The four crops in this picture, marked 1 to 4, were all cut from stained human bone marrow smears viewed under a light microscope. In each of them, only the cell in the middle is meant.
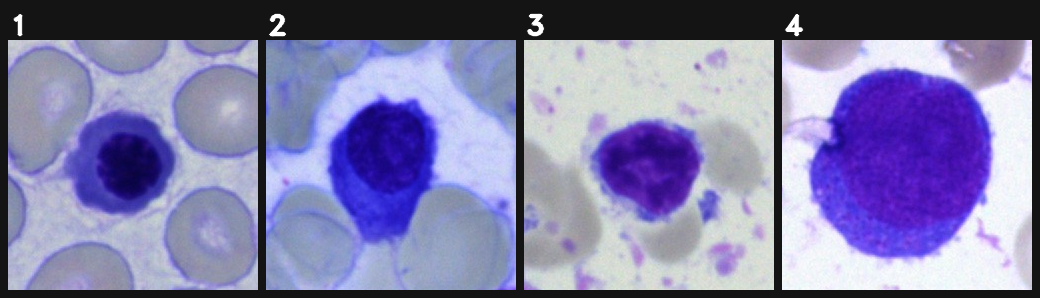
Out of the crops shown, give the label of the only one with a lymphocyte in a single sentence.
Here the crop that shows a lymphocyte is crop 3.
